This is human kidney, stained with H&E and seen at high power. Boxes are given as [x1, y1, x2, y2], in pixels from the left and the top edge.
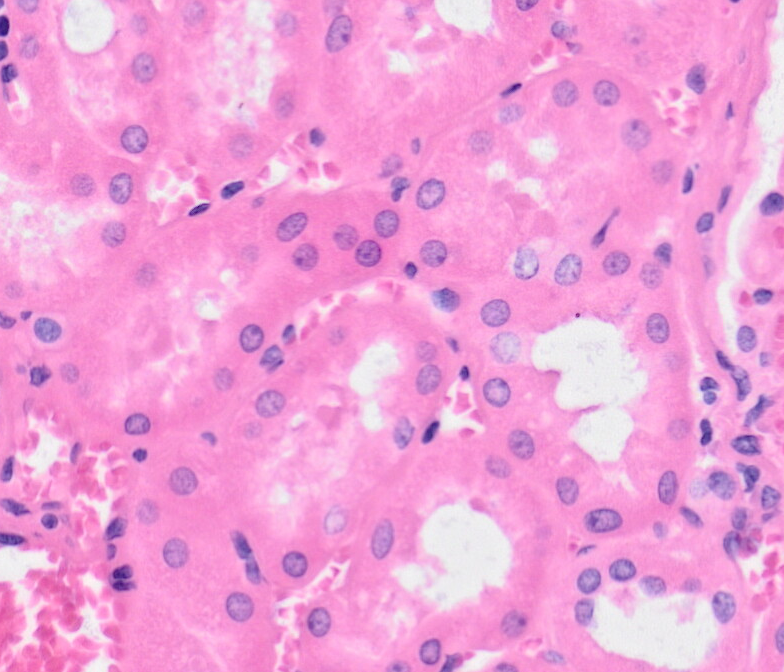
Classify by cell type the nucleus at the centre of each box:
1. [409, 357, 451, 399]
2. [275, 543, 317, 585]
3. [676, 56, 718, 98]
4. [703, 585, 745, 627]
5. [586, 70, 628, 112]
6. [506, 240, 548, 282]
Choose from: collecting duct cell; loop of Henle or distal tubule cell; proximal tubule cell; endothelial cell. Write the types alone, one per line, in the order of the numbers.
proximal tubule cell
proximal tubule cell
endothelial cell
loop of Henle or distal tubule cell
proximal tubule cell
proximal tubule cell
